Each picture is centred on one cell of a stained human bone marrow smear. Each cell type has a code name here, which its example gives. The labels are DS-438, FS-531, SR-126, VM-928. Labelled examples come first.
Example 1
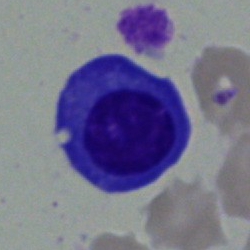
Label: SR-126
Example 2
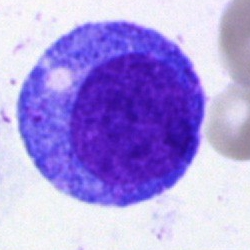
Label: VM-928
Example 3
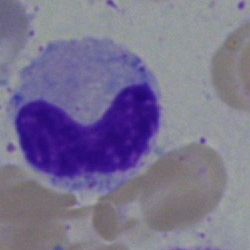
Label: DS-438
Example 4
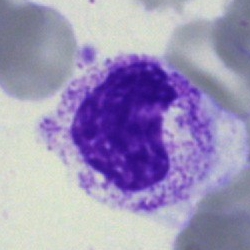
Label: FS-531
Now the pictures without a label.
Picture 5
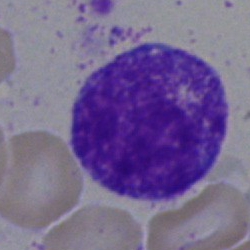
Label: FS-531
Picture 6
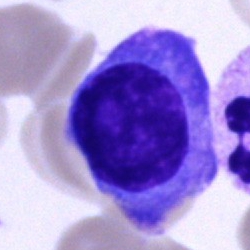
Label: SR-126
